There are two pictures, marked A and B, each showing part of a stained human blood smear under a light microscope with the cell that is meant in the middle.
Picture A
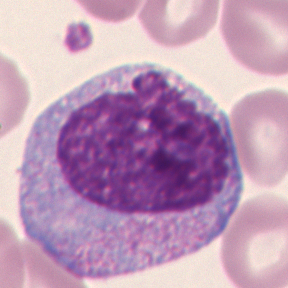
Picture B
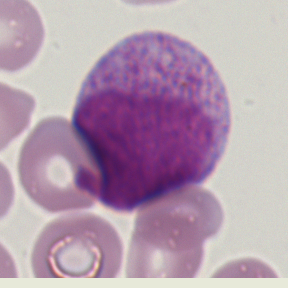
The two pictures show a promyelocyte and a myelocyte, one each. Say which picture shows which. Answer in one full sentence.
Picture A shows a promyelocyte and picture B shows a myelocyte.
